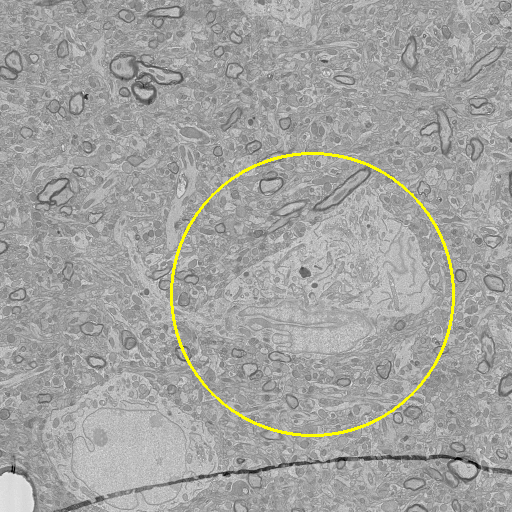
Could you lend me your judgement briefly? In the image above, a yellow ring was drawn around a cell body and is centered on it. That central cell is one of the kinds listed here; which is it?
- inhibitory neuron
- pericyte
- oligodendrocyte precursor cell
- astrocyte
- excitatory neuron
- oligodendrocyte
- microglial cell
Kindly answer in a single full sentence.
Going by the list, an oligodendrocyte precursor cell is the kind at the ring's center in the picture.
